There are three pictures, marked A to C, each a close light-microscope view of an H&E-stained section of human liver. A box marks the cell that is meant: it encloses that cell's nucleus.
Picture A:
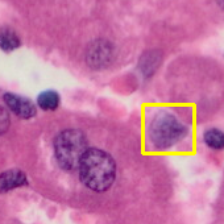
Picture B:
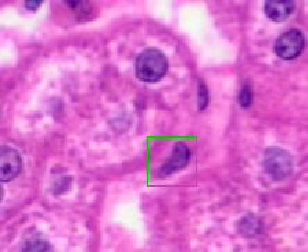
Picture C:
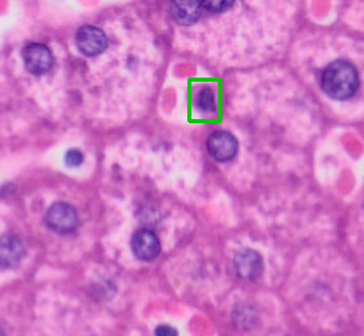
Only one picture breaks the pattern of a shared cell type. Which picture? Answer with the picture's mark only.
A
